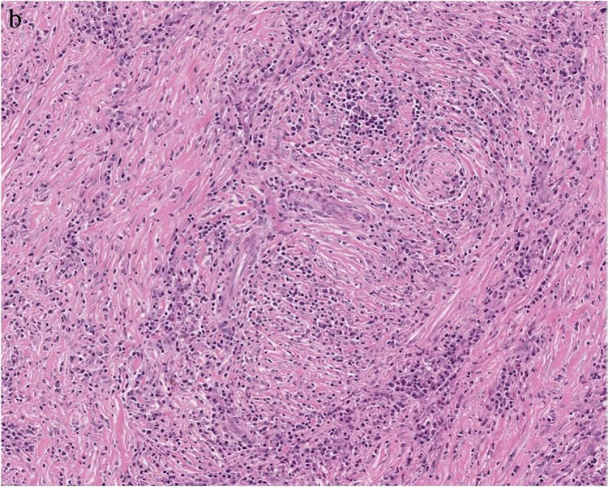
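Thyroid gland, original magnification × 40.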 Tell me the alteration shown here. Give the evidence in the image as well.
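Storiform fibrosis. Pink collagen bundles run in whorls and interlace at different angles. Spindle-shaped nuclei lie along the collagen bundles.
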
